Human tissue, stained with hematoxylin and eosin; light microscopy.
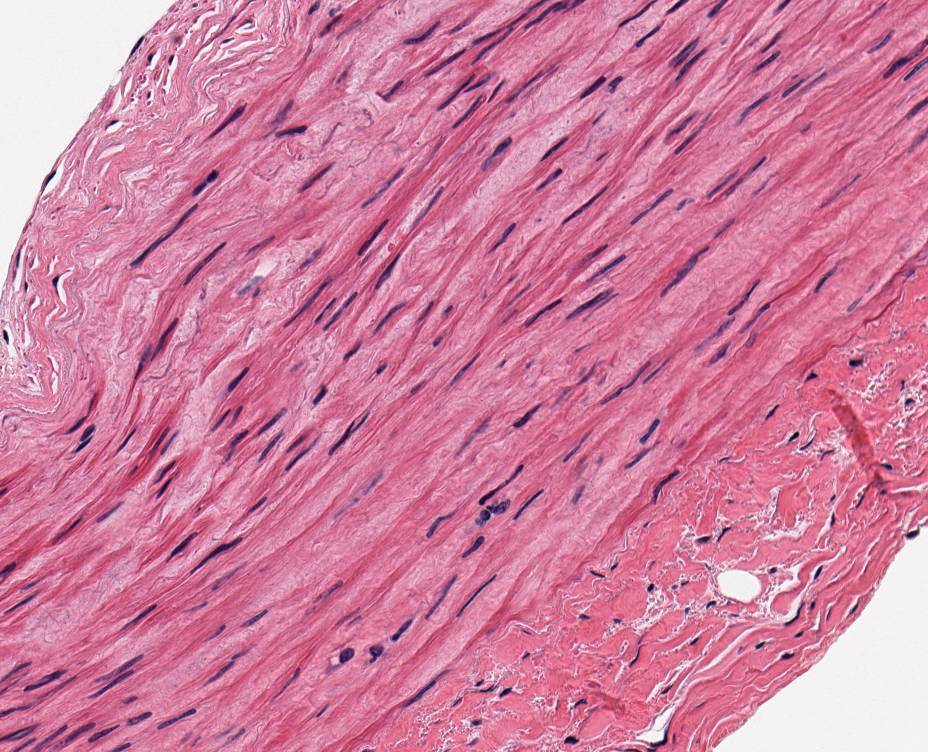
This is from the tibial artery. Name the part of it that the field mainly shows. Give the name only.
tunica media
